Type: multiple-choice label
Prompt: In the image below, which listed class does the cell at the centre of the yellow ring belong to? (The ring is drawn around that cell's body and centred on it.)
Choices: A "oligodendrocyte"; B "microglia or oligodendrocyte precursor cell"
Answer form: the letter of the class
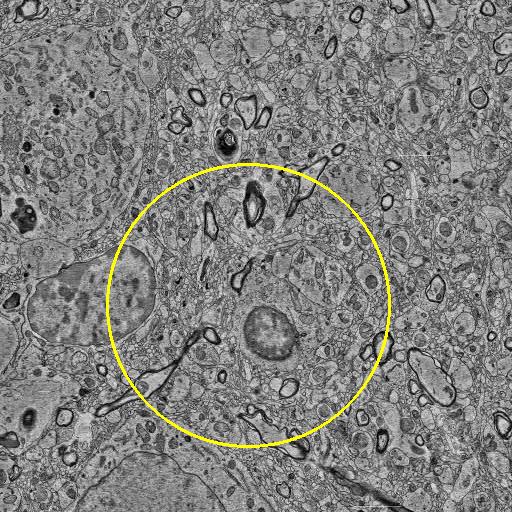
A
